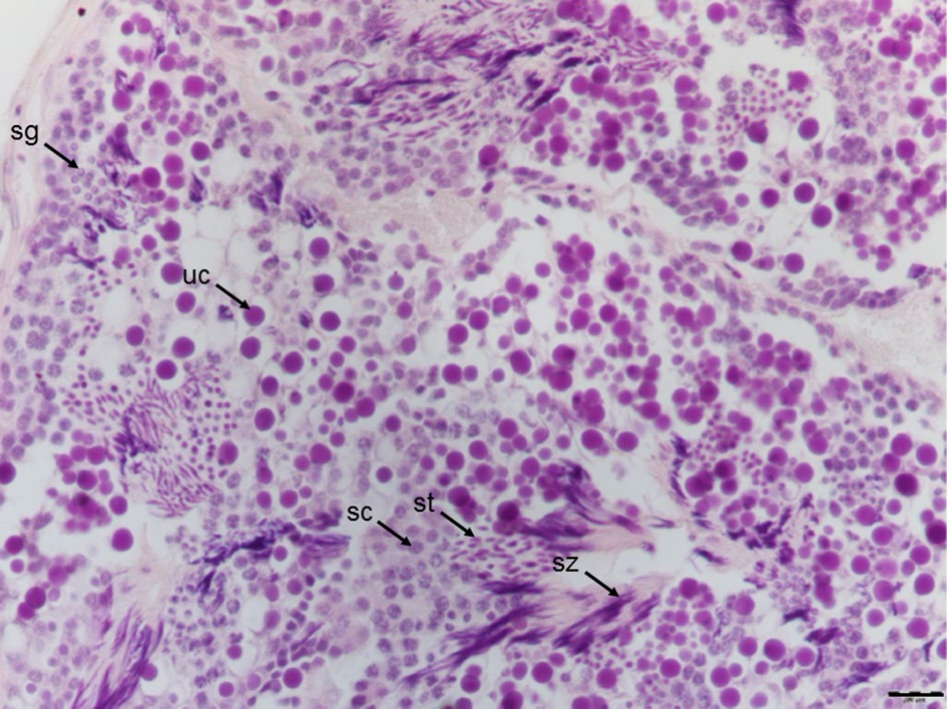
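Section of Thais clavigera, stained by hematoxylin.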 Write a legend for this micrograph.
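This is a testis with germ cells at successive stages of sperm formation packed within compartments separated by thin pale connective tissue. Small round spermatogonia lie near the outer wall, and in from them are clusters of spermatocytes with round nuclei and spermatids of smaller size. Spermatozoa appear as dark purple, thread-like bundles streaming toward the lumens.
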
